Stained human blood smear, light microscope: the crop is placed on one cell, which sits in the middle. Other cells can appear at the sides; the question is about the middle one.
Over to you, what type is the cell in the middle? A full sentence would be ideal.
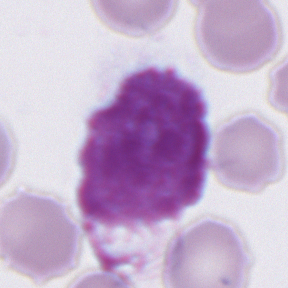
The cell at the centre of the field is a smudge cell.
